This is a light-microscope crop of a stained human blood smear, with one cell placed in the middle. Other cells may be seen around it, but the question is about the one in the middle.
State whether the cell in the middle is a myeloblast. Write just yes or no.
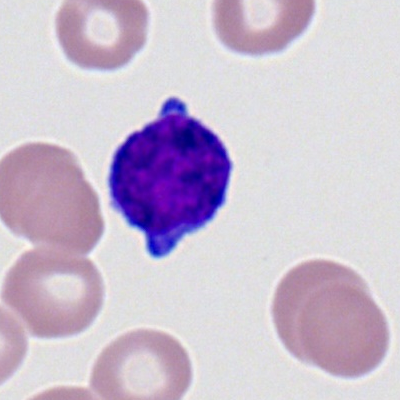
no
